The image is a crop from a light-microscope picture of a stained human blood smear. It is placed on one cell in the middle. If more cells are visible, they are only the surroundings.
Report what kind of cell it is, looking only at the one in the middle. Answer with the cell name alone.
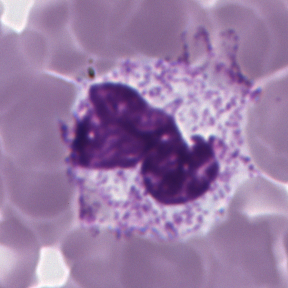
segmented neutrophil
